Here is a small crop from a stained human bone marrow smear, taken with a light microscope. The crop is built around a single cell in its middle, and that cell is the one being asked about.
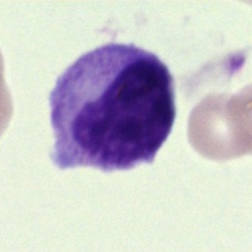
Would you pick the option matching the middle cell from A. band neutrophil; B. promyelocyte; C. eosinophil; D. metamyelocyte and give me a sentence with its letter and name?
Here the right option is D, as the cell in the middle is a metamyelocyte.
